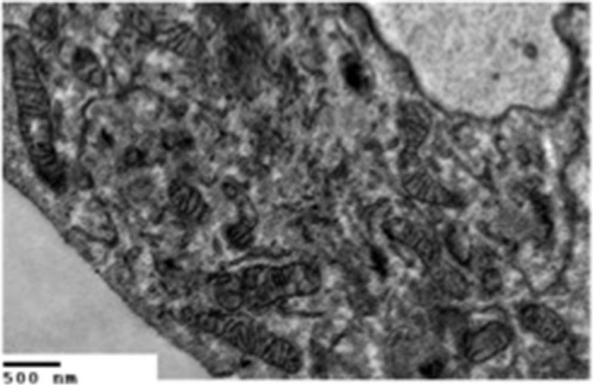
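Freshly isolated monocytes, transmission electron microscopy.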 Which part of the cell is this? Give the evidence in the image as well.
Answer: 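Many membrane-bound organelles with transverse internal cristae lie in the cytoplasm. Some of these organelles are elongated, others oval.
Conclusion: mitochondria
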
